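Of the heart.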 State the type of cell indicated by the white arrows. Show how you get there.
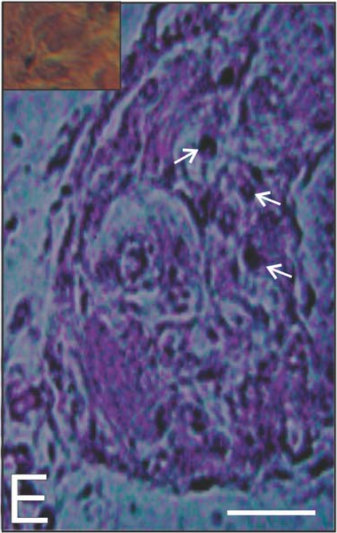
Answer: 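The arrows point to small dark round nuclei within a densely cellular rounded structure. The answer: lymphocytes.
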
